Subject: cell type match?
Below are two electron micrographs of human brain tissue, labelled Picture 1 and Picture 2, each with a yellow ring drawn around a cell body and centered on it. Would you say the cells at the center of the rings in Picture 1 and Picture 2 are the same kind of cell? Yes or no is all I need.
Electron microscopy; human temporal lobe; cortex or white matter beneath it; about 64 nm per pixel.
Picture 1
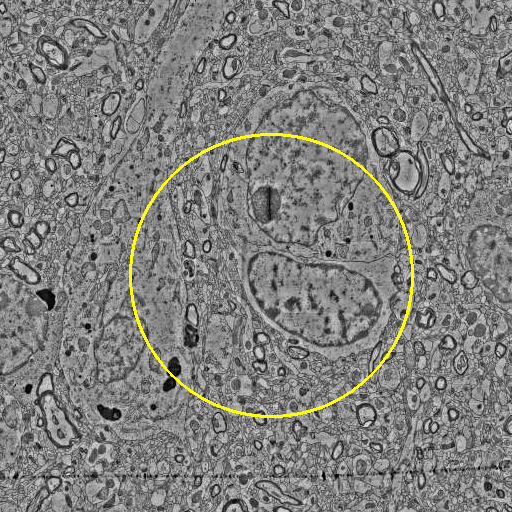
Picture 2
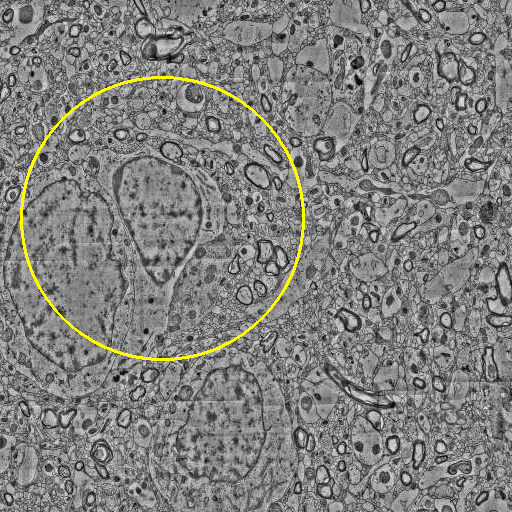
yes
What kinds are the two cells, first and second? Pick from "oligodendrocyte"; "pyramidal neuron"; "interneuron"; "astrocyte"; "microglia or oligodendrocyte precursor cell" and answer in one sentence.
Each cell, in the first picture and the second, is a microglial cell or oligodendrocyte precursor cell.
